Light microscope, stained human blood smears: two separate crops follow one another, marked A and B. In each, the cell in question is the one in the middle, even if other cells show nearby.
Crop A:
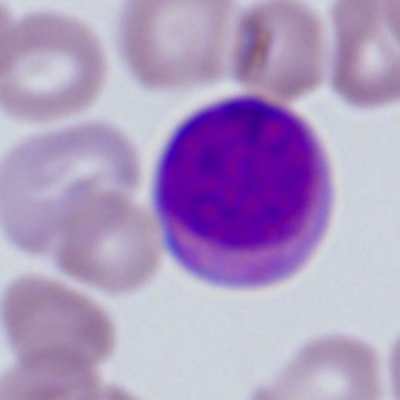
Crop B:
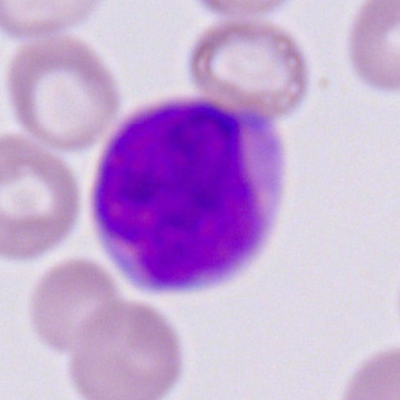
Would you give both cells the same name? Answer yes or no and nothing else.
yes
